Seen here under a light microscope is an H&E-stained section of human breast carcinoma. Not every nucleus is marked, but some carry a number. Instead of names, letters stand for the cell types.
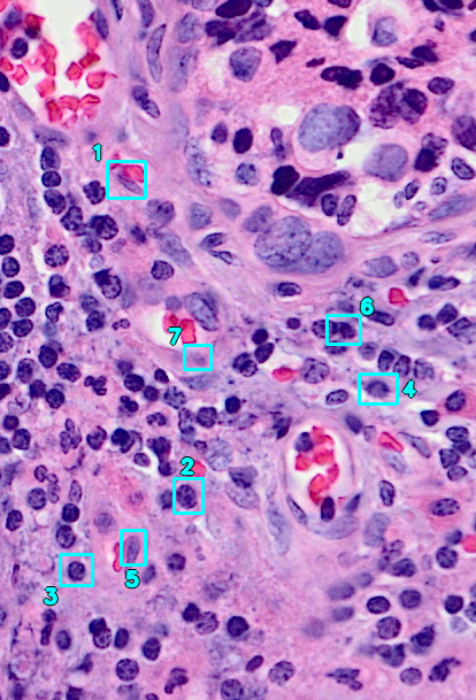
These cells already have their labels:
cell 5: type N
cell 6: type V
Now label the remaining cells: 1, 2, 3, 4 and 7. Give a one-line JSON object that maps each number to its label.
{"1": "type N", "2": "type V", "3": "type V", "4": "type V", "7": "type N"}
